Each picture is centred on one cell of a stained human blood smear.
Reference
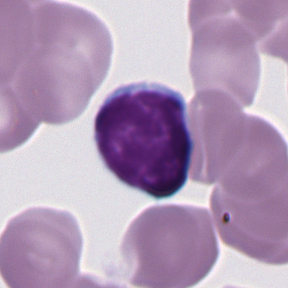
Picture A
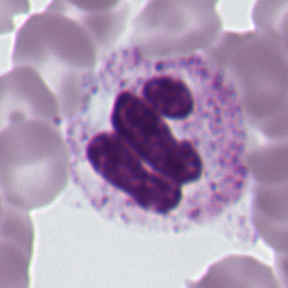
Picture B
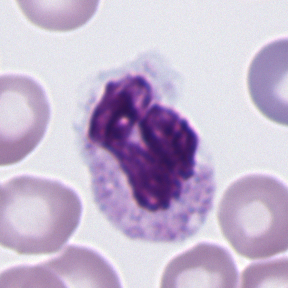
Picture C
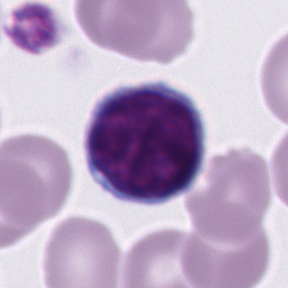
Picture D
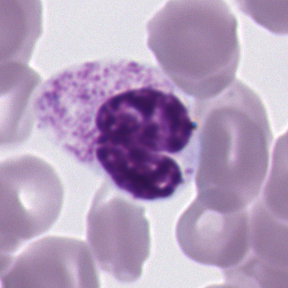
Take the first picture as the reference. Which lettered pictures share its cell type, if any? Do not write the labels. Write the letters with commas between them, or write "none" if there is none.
C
